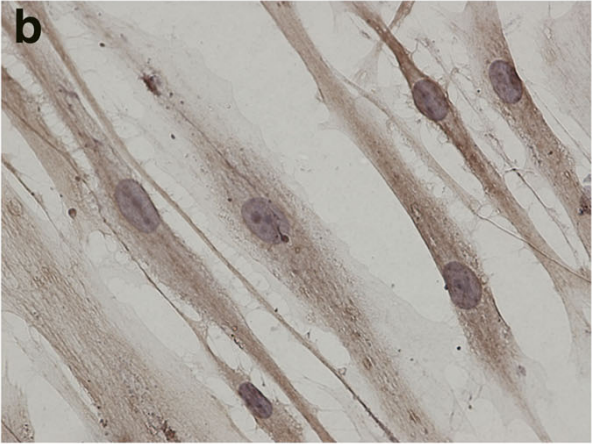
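The cytoplasm is stained brown throughout the cell body and out along the long tapering processes, and fine brown granules are scattered within it, some denser near the nucleus. The brown colour stops at the cell edges, so the pale background between cells stays unstained. Some cells overlap or run alongside each other in streams, giving a fibroblast-like appearance.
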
